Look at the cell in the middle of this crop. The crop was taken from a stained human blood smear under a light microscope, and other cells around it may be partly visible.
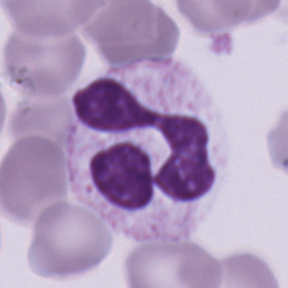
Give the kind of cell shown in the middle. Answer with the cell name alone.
segmented neutrophil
